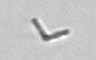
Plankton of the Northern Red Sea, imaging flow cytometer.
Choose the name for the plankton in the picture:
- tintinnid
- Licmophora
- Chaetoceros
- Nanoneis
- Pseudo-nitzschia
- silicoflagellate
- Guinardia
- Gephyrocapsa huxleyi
Nanoneis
